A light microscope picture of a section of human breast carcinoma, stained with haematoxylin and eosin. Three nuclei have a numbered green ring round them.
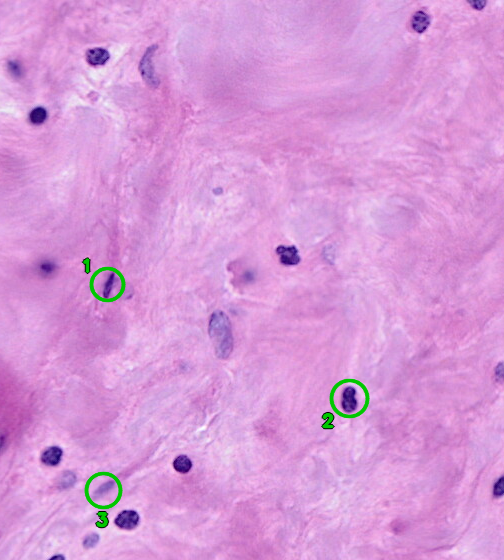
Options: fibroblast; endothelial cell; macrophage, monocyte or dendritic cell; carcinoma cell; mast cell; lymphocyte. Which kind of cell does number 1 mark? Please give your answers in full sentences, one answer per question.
The label 1 in this section denotes a fibroblast.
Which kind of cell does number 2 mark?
In this section, the cell numbered 2 is a lymphocyte.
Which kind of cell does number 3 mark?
Cell 3 should be recorded as a fibroblast.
